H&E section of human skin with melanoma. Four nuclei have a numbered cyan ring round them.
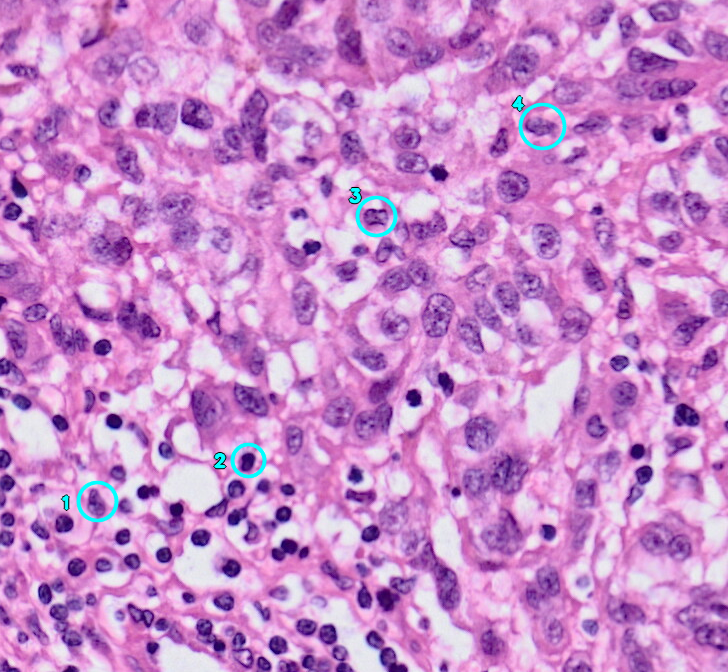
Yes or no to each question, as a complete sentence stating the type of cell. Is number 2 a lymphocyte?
Yes, the cell at marker 2 is a lymphocyte.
